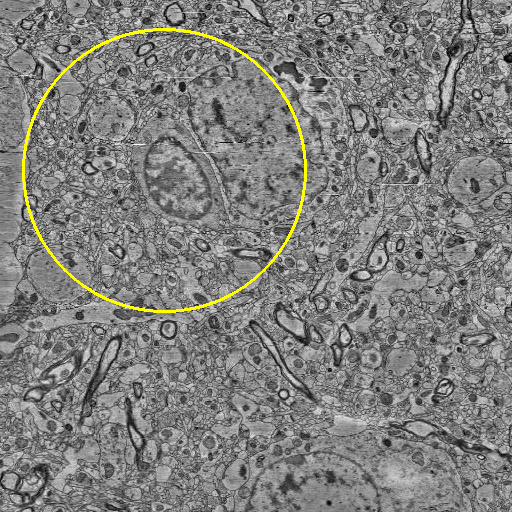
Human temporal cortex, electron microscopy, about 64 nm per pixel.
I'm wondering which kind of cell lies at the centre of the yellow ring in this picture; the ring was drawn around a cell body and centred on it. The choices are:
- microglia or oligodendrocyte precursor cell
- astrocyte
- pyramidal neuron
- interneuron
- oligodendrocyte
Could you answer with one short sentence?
At the centre of the ring lies an oligodendrocyte.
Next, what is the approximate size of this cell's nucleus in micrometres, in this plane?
Approximately 6 micrometres long and 4 micrometres wide, so clearly longer than it is wide in this plane.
